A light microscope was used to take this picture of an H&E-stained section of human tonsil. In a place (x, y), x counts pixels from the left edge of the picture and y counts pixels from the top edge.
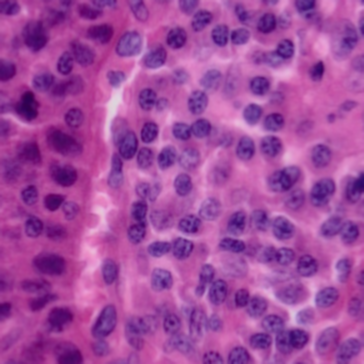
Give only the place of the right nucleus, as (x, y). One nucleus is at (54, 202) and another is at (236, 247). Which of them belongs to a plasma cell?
(236, 247)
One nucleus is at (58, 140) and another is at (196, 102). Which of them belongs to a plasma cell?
(196, 102)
